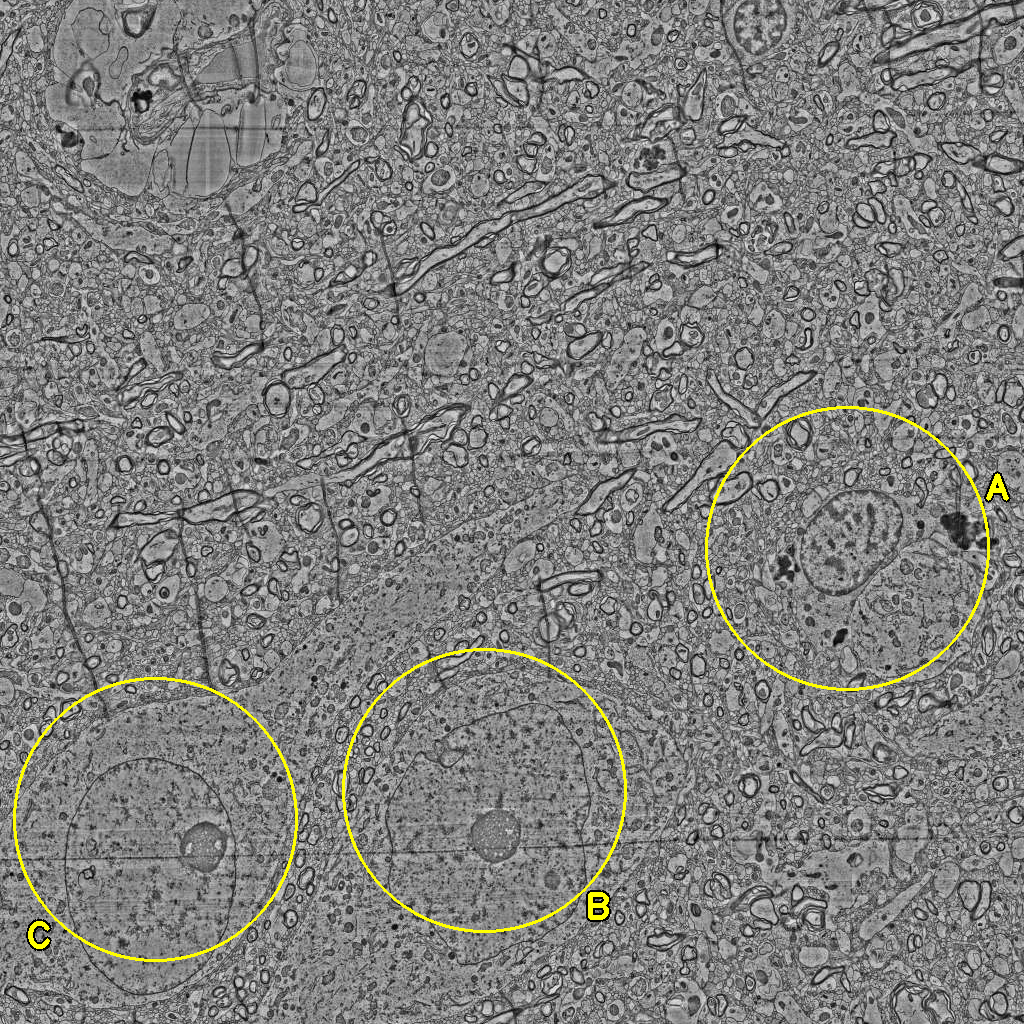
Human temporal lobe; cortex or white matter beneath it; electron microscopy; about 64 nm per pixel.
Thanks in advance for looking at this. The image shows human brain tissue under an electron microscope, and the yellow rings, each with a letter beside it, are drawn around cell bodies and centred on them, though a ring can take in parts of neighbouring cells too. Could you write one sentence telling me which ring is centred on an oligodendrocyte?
Ring A is centred on it.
